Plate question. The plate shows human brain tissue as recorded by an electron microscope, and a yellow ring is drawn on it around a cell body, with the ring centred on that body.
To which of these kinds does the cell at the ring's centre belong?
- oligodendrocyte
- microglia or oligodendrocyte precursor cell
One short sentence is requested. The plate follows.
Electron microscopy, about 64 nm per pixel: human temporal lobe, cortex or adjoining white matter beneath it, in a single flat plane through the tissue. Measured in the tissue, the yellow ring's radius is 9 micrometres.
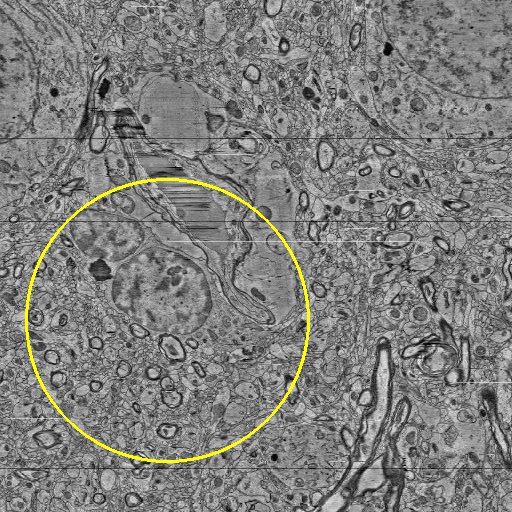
The cell at the ring's centre is an oligodendrocyte.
